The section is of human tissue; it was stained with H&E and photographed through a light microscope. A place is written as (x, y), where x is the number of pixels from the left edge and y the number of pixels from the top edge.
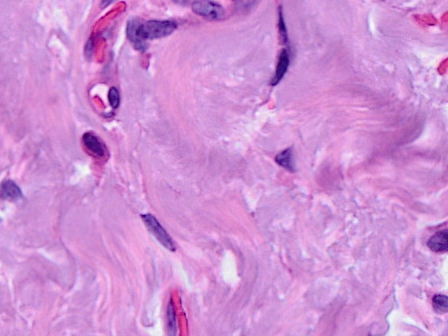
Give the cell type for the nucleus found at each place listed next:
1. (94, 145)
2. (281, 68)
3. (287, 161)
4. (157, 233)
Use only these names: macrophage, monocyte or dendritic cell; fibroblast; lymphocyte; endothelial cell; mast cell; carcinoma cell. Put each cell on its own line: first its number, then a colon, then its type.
1: mast cell
2: fibroblast
3: fibroblast
4: fibroblast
